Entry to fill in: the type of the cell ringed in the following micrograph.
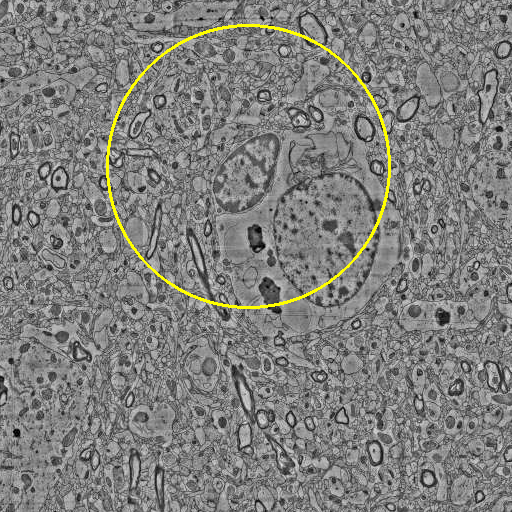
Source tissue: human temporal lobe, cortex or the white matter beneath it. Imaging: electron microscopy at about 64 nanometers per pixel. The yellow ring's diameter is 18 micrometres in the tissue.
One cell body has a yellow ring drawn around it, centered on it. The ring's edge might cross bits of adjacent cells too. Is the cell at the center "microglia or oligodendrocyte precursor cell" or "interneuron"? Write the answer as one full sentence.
This entry names a microglial cell or oligodendrocyte precursor cell as the cell whose body lies at the ring's center.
